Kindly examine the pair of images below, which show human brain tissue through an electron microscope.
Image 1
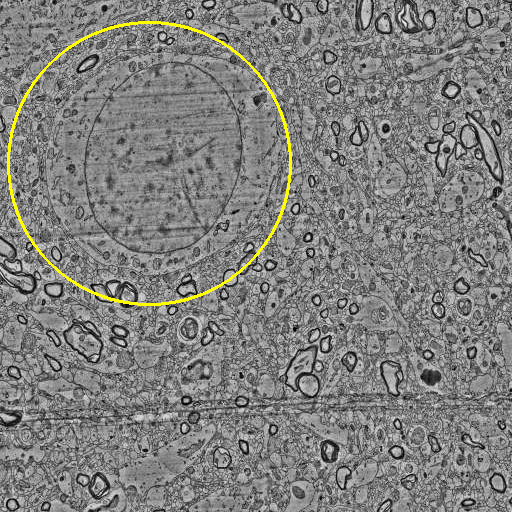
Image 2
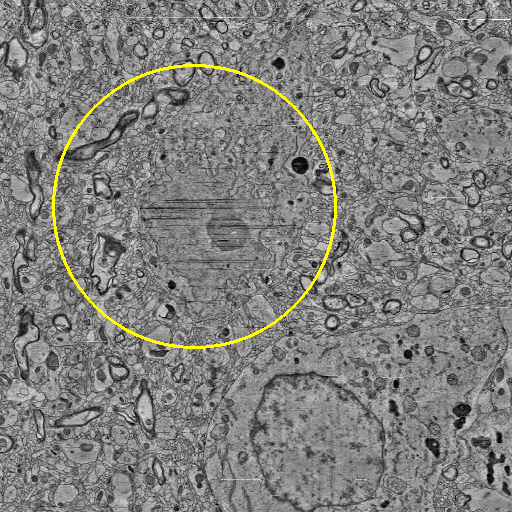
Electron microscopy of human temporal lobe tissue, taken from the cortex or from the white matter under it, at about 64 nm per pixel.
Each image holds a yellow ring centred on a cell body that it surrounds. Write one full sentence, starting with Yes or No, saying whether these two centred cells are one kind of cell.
Yes, both cells at the centres of the yellow rings belong to one kind of cell.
